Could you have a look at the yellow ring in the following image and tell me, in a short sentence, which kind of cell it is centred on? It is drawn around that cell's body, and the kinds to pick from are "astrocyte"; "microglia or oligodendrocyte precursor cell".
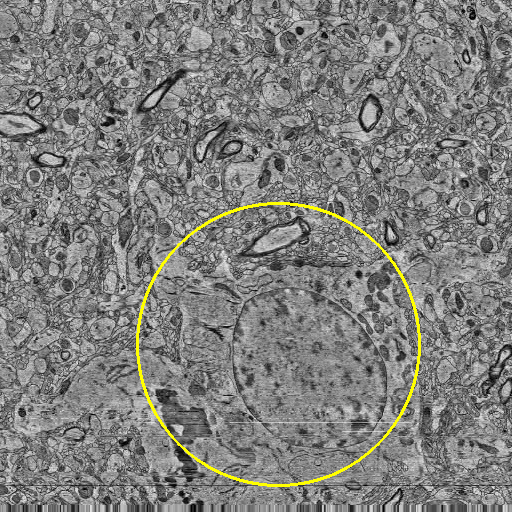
The ring is centred on the body of an astrocyte.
